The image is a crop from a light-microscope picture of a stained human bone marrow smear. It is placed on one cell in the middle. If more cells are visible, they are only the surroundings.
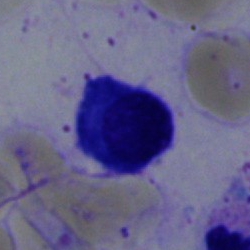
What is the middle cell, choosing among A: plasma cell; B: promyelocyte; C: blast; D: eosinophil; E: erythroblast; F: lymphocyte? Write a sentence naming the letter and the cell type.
The right choice is option A: the cell in the middle is a plasma cell.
